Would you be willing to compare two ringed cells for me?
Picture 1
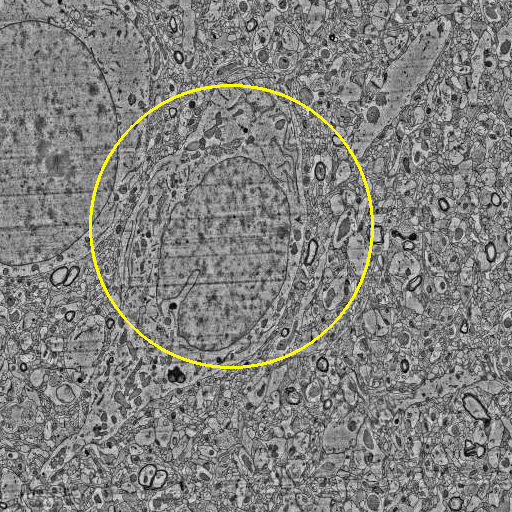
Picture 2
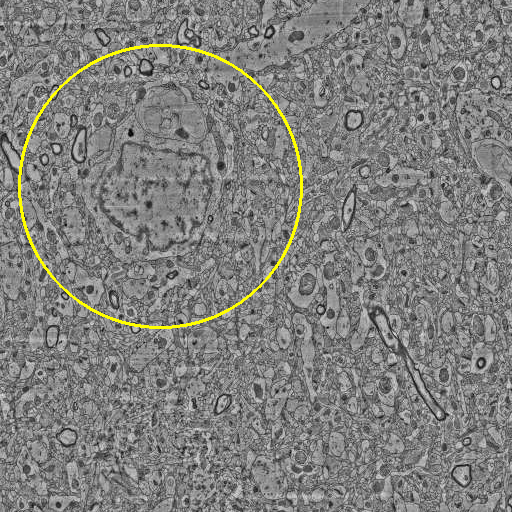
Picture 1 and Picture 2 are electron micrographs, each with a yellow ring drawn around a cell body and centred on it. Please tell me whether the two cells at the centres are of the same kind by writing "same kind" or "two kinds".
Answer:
same kind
